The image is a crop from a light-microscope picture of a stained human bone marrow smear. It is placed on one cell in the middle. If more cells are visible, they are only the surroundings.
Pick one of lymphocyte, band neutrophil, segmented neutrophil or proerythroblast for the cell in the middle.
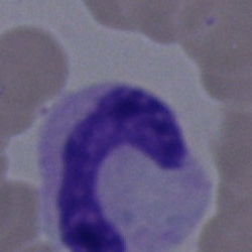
band neutrophil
